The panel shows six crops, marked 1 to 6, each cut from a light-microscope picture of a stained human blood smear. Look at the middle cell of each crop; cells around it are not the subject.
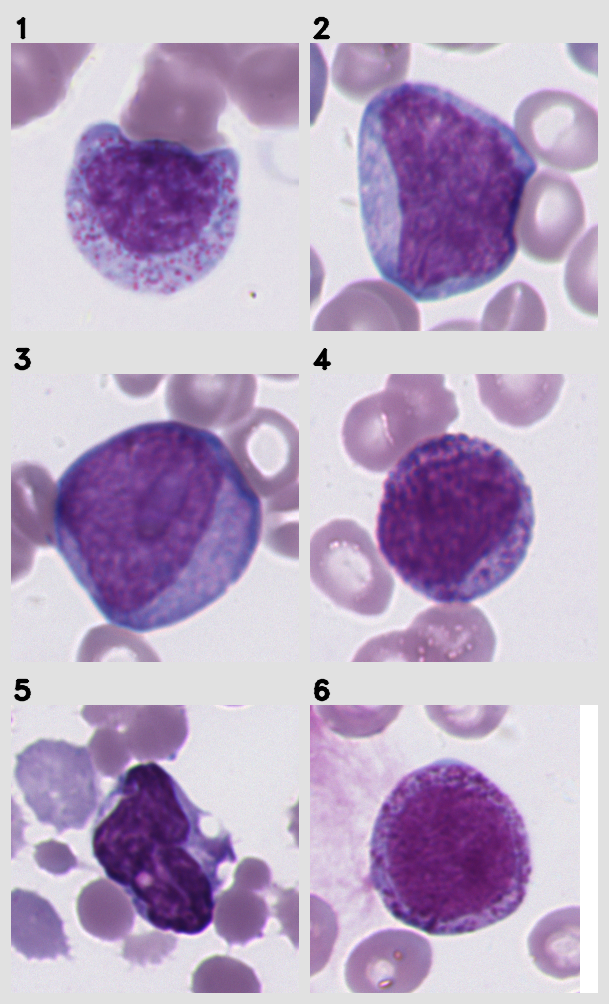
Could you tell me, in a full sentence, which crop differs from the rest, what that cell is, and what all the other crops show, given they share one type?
Unlike the other crops, all showing promyelocytes, crop 5 is a monocyte.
